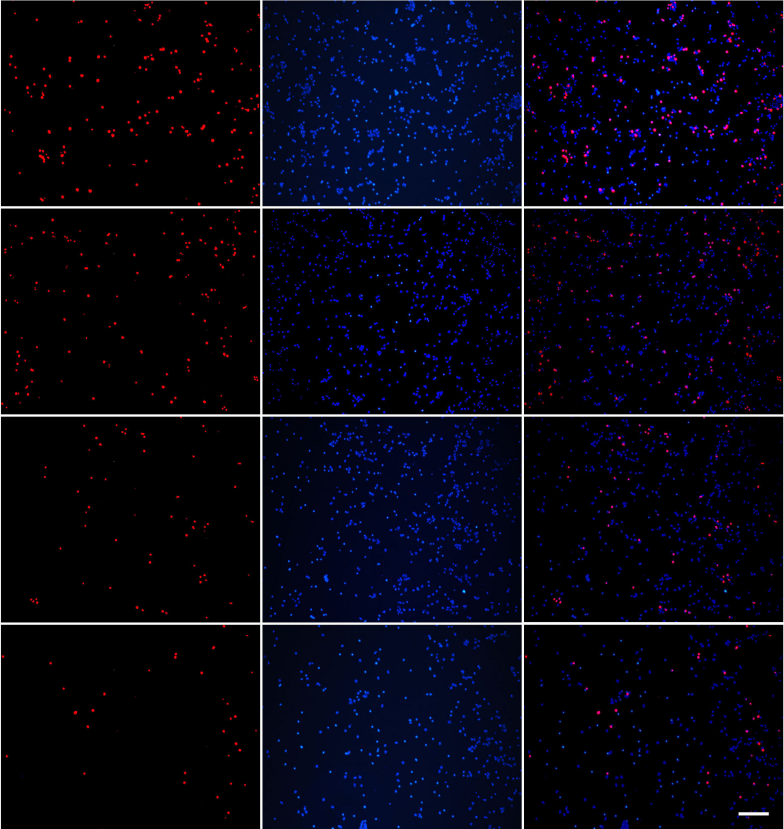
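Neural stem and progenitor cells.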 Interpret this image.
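This is a grid of low-magnification fluorescence fields of a cultured cell layer, shown in one red channel, one blue channel and their overlay. Many small, round to oval blue nuclei are scattered fairly evenly across each field, with no tissue layering, as in a dissociated culture. In the red channel, compact round dots the size of nuclei appear. In the overlay they fall on blue nuclei and look pink-magenta, so only part of the nuclei are labelled. In the upper rows the red nuclei are numerous, and some sit in small clusters. Lower down the grid they become sparse, while the blue nuclei stay plentiful.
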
